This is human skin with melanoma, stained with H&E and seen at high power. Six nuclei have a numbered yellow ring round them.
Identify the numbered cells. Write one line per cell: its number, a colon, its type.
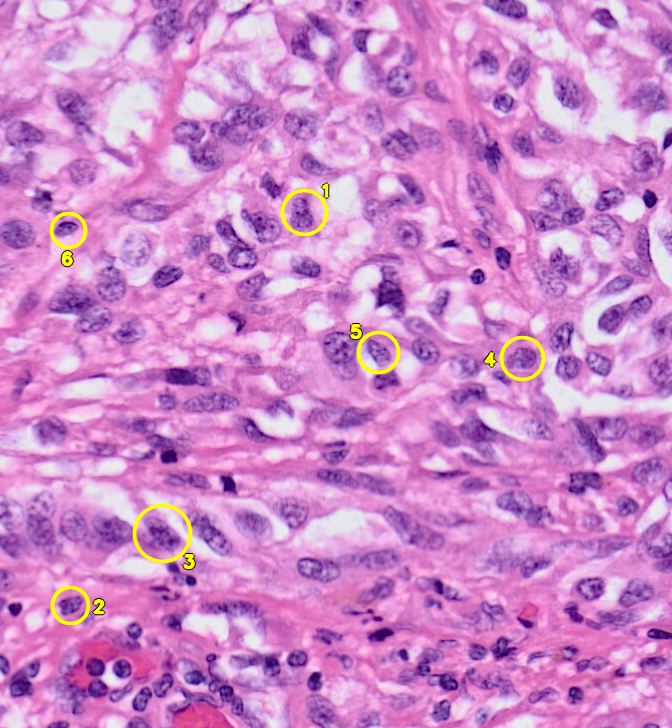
1: melanoma cell
2: lymphocyte
3: melanoma cell
4: melanoma cell
5: melanoma cell
6: lymphocyte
